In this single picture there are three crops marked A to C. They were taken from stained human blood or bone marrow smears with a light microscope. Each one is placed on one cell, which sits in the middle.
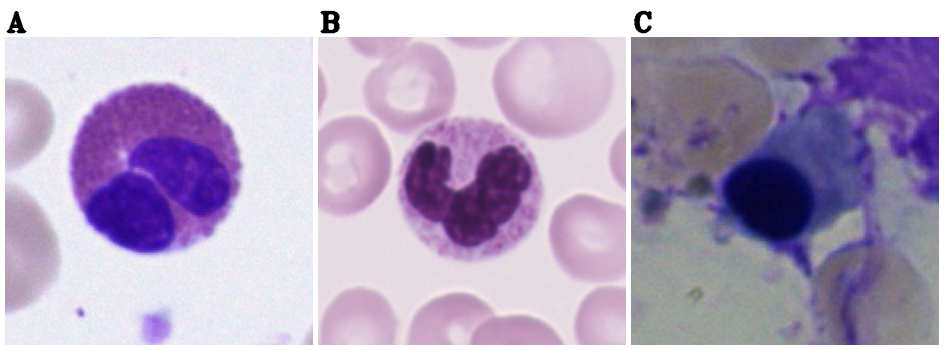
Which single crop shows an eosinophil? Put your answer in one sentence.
Here the crop that shows an eosinophil is crop A.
